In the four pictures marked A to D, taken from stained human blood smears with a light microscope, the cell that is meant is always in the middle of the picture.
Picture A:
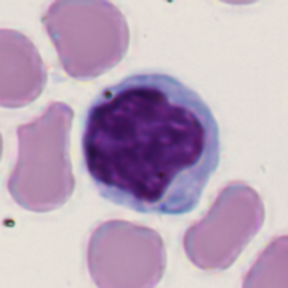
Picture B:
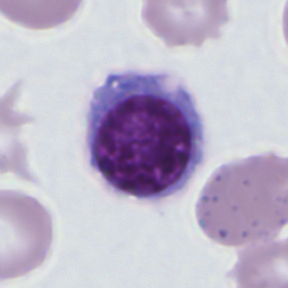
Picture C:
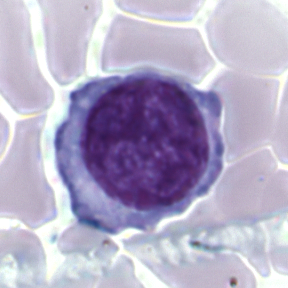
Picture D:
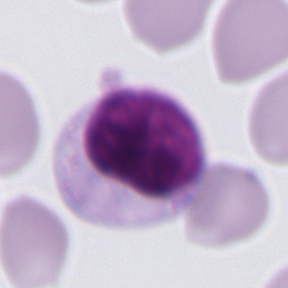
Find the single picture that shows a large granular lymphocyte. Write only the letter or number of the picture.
D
